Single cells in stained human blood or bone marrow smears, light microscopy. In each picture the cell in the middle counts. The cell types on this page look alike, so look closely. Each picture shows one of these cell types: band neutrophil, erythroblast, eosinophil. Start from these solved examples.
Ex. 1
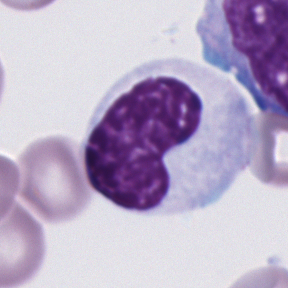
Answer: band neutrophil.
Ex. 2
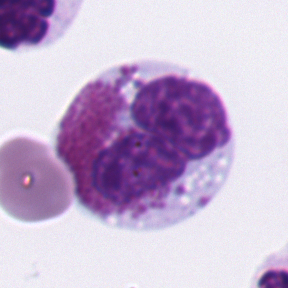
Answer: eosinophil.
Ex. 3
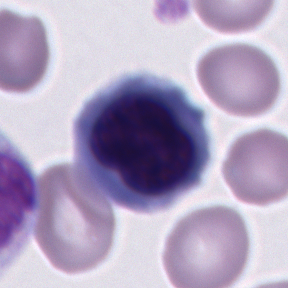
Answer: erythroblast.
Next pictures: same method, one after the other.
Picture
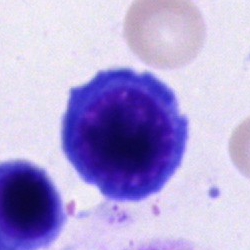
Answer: erythroblast.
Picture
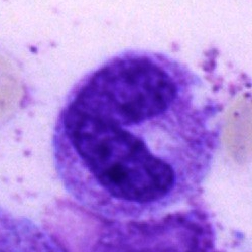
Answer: band neutrophil.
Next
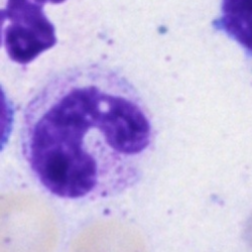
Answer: band neutrophil.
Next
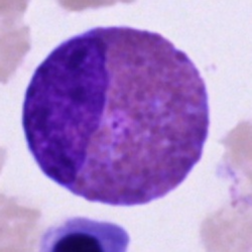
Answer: eosinophil.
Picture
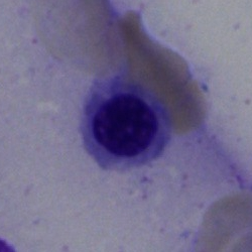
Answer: erythroblast.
